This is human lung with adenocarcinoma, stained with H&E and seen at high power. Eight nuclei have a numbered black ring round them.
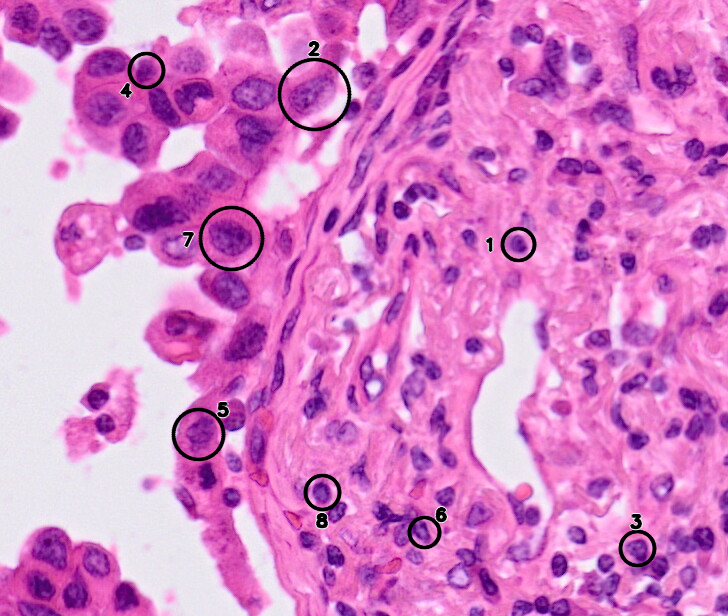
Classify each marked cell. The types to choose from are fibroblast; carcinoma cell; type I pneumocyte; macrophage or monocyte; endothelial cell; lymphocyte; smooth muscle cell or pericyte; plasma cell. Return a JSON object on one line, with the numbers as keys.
{"1": "lymphocyte", "2": "carcinoma cell", "3": "lymphocyte", "4": "carcinoma cell", "5": "carcinoma cell", "6": "lymphocyte", "7": "carcinoma cell", "8": "lymphocyte"}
